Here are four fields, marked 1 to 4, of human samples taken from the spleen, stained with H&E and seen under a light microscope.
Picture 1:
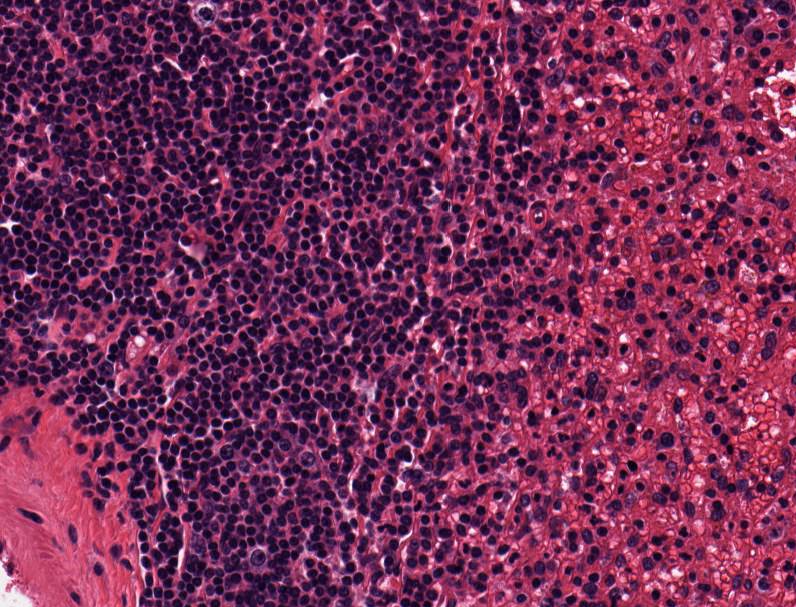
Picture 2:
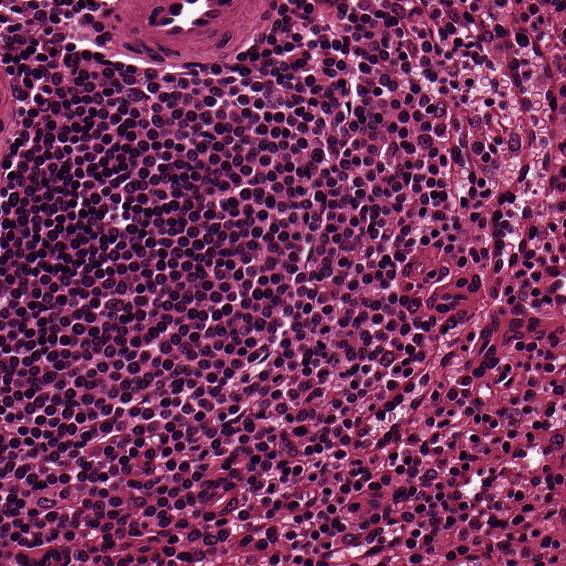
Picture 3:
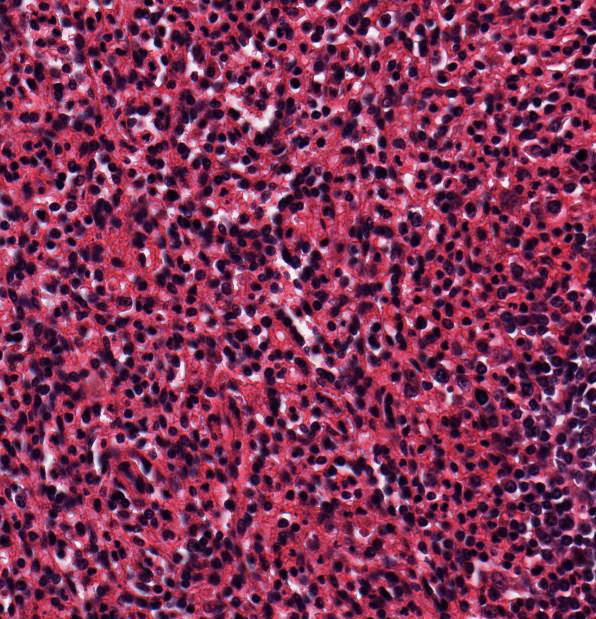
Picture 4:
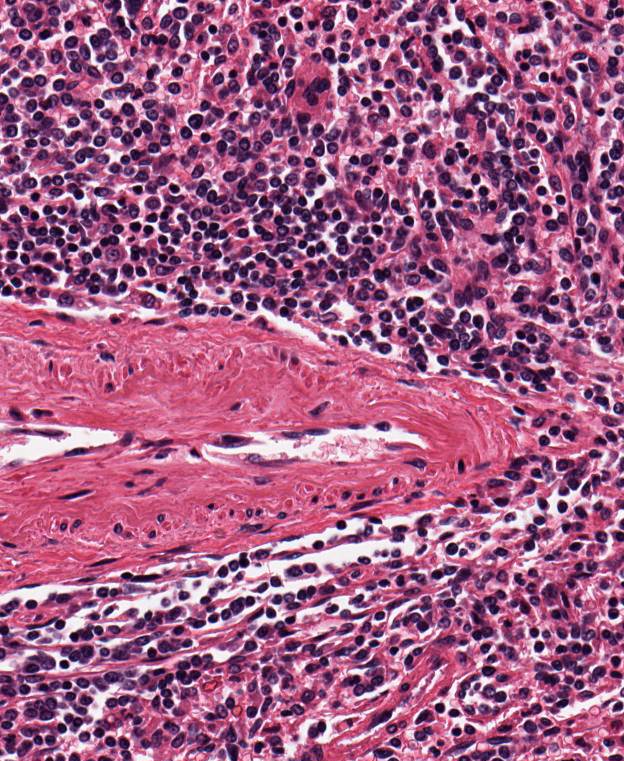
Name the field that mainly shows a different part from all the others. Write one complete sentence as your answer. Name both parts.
All pictures except 3 mainly show the white pulp; picture 3 mainly shows the red pulp.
